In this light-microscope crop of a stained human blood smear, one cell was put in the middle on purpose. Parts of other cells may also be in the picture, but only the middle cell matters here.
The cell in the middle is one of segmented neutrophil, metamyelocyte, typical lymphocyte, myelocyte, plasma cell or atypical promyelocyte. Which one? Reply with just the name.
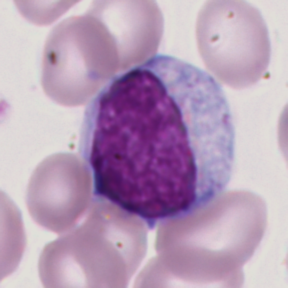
myelocyte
